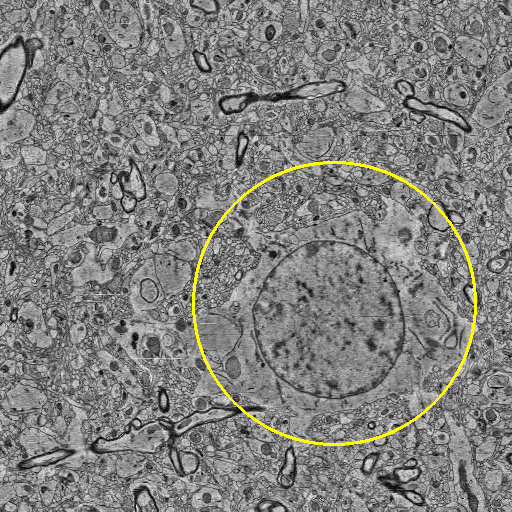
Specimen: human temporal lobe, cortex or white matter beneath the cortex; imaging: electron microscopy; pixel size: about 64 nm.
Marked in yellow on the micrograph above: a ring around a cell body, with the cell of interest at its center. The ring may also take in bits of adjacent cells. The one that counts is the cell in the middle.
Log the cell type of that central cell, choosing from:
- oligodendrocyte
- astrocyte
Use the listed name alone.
astrocyte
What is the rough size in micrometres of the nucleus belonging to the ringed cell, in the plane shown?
About 10 micrometres across in this plane, for the nucleus.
